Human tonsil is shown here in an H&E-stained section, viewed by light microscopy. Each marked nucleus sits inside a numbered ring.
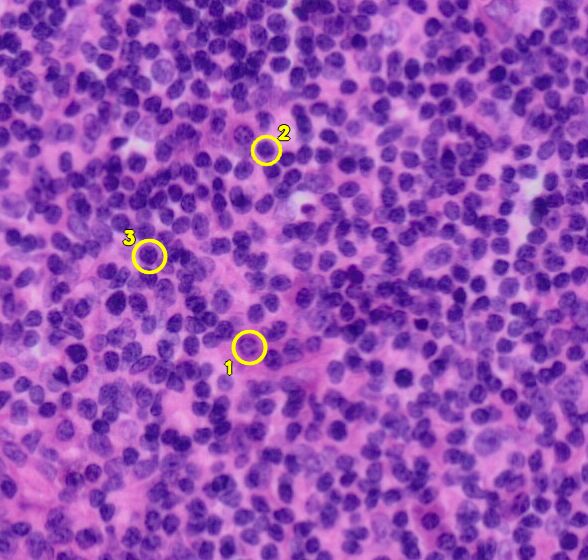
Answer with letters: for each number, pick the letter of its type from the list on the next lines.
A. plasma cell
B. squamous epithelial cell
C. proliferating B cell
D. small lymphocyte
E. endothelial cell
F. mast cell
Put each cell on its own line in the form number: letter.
1: A
2: D
3: D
